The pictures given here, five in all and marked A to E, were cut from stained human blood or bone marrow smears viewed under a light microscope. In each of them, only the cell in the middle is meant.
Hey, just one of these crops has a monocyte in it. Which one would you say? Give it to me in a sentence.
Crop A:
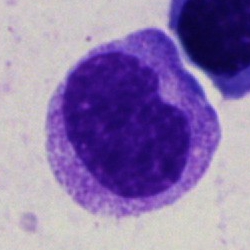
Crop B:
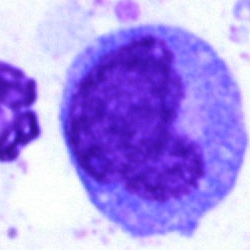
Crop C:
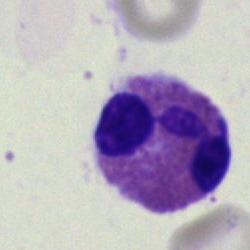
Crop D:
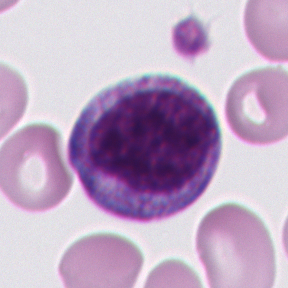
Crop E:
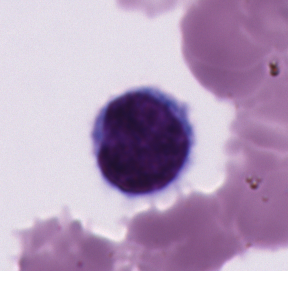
The crop with a monocyte at its center is crop B.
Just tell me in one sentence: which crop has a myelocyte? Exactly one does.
Only in crop D is a myelocyte shown.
